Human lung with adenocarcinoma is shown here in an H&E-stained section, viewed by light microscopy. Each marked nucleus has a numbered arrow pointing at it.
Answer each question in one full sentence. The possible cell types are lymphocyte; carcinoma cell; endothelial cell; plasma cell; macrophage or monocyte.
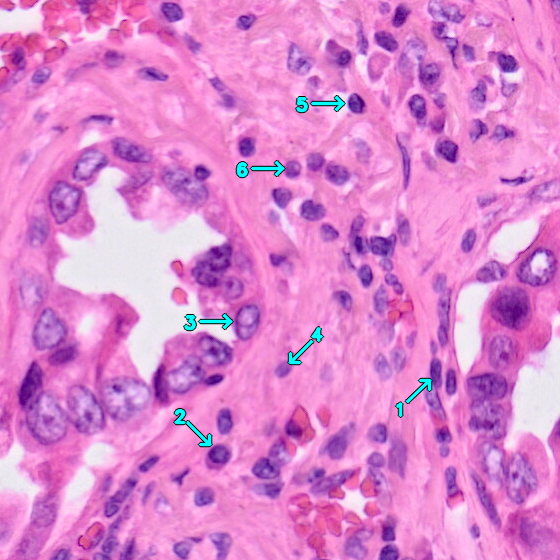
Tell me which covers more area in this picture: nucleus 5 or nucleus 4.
Nucleus 5 covers more area, about 1.5 times as much as nucleus 4.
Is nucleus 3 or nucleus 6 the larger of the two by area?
Nucleus 3 is larger, with an area about 3 times that of nucleus 6.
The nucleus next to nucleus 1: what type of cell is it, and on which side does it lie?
Lying below and to the right of nucleus 1, the nearest nucleus is that of a lymphocyte.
